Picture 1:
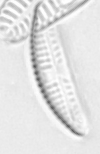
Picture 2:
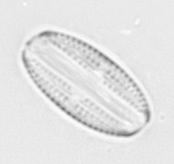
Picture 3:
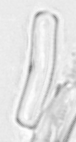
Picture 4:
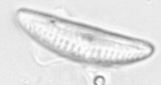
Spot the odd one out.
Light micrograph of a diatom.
Picture 3 (Achnanthidium among Amphora).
